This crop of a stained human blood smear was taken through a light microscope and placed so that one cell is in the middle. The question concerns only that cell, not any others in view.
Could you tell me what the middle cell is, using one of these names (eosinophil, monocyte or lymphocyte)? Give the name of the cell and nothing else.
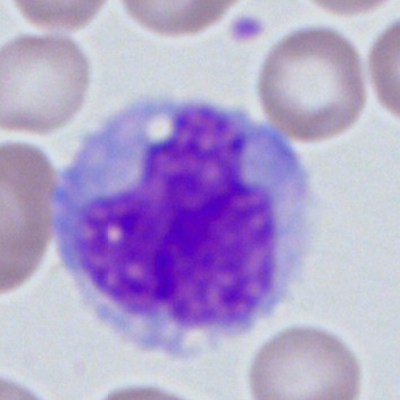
monocyte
